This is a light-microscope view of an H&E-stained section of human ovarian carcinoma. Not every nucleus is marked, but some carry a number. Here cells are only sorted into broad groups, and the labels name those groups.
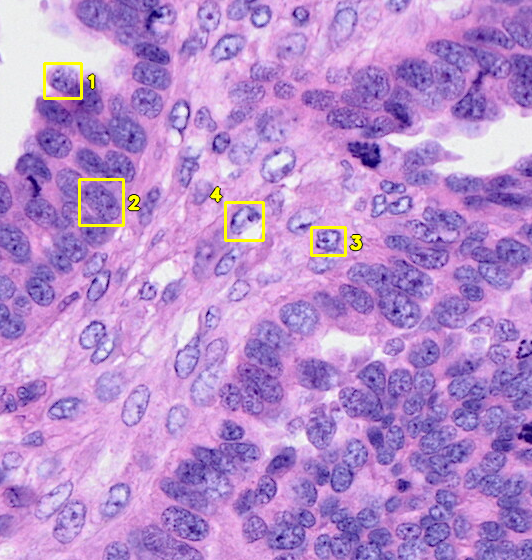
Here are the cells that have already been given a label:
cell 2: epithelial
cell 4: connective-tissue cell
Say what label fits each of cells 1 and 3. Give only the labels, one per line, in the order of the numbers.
epithelial
connective-tissue cell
